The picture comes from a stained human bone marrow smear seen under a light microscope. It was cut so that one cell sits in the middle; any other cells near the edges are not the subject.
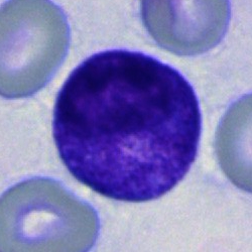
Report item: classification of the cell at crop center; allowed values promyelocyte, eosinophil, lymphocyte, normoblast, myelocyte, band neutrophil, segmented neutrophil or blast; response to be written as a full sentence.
The cell centred in this crop is categorized as a promyelocyte.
